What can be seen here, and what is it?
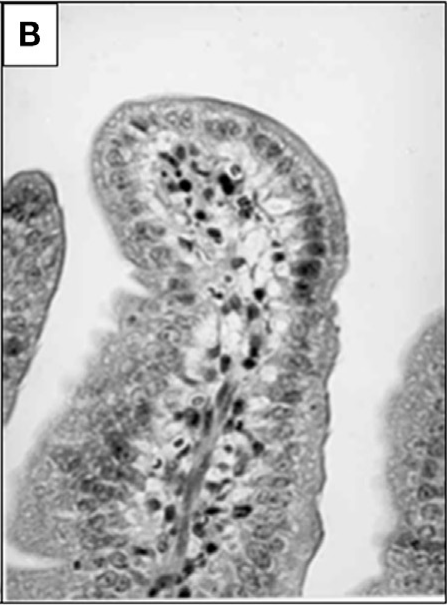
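This is a tall, slender small intestinal villus lined by a single row of columnar epithelial cells with oval nuclei lined up near the cell bases. The core of the villus is a narrow column containing many small dark nuclei of connective tissue and immune cells, with a thin central strand running up its length. Neighbouring villi at the edges show the same even lining. The villus architecture appears largely preserved.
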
